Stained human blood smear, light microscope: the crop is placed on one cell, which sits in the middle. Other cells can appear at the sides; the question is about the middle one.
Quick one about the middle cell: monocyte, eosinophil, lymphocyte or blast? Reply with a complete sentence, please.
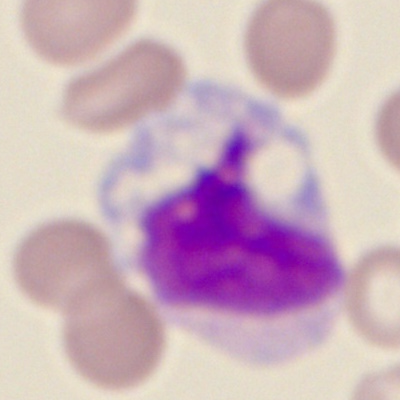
The identification for the central cell is a monocyte.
